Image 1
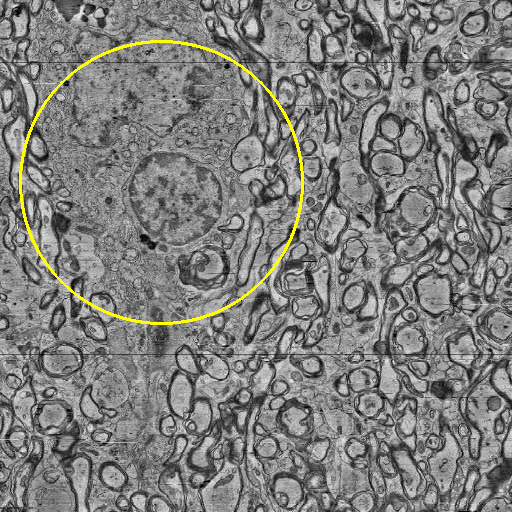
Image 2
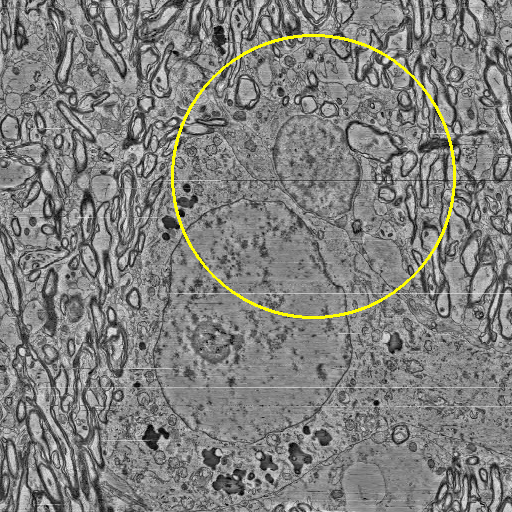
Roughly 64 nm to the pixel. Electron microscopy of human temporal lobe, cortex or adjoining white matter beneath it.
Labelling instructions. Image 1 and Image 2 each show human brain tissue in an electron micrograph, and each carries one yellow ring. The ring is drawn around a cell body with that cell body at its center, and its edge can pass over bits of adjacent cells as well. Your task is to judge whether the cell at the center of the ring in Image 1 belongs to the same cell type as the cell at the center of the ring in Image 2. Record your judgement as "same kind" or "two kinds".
same kind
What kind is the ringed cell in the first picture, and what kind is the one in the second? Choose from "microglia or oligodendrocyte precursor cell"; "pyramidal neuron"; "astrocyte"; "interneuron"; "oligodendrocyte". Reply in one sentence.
Each one of the two ringed cells is an oligodendrocyte.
